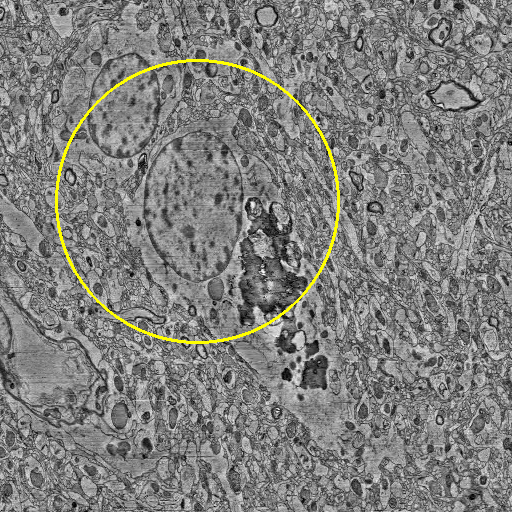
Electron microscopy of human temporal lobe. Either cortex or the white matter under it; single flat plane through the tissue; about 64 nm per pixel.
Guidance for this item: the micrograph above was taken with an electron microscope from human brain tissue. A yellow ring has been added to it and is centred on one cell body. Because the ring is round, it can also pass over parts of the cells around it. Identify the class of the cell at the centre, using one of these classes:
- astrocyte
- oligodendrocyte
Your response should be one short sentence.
The ring surrounds the body of an astrocyte.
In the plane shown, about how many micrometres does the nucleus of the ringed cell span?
The nucleus appears roughly 10 by 7 micrometres in this plane.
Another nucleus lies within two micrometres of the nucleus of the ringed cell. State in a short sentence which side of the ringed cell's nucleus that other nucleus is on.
That second nucleus is to the upper left of it.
